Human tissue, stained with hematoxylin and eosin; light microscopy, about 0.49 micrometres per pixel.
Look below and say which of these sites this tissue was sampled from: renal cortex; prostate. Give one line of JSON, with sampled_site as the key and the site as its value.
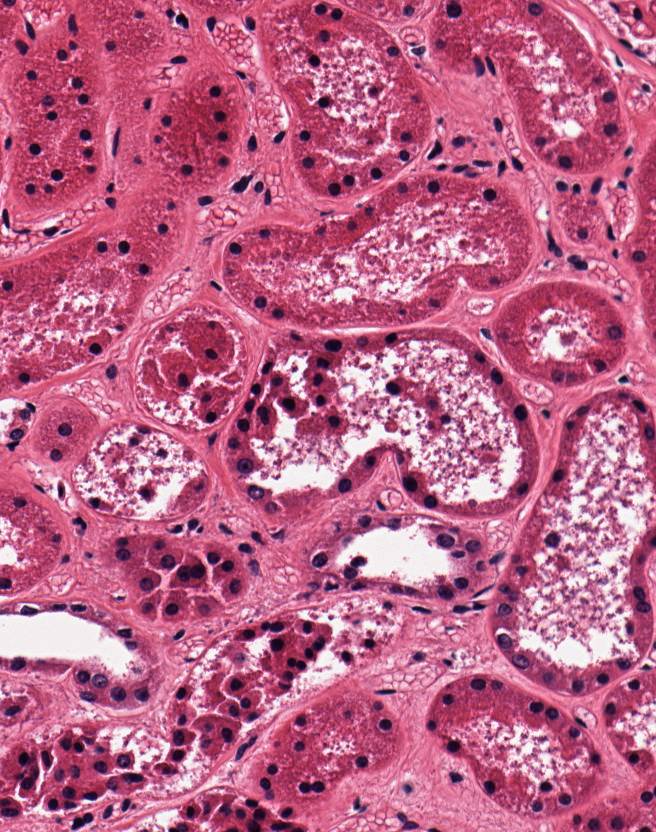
{"sampled_site": "renal cortex"}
